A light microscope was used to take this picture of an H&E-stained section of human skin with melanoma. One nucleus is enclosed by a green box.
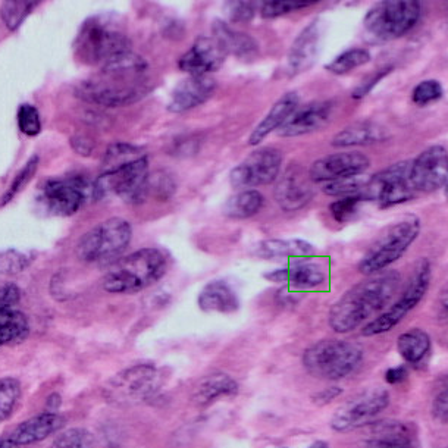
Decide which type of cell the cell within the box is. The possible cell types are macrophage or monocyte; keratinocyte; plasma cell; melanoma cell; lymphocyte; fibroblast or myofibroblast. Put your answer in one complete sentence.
Considered by cell type, the cell within the box is a melanoma cell.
